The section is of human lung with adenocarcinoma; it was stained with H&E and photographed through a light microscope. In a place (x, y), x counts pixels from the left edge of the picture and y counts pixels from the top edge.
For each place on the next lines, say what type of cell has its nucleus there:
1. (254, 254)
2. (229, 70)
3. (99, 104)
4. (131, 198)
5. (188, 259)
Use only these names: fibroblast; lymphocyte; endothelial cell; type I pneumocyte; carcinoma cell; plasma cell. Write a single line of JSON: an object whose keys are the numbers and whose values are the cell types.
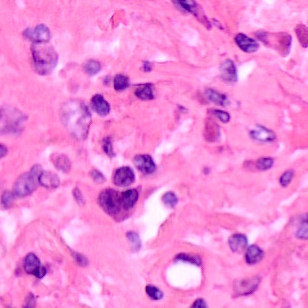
{"1": "lymphocyte", "2": "fibroblast", "3": "lymphocyte", "4": "plasma cell", "5": "endothelial cell"}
